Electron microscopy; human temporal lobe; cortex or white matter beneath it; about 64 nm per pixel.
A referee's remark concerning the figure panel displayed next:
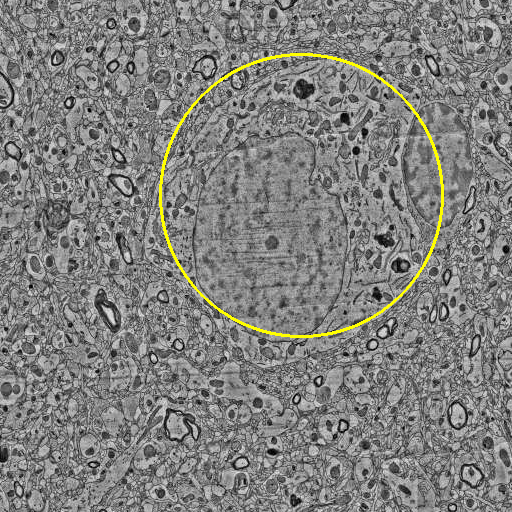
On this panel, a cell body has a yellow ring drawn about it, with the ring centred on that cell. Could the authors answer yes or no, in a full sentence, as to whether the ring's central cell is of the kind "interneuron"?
Yes, the cell sitting at the middle of the ring on this panel belongs to that kind.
